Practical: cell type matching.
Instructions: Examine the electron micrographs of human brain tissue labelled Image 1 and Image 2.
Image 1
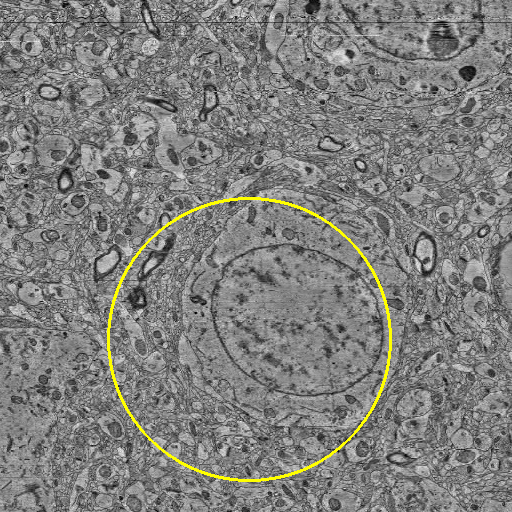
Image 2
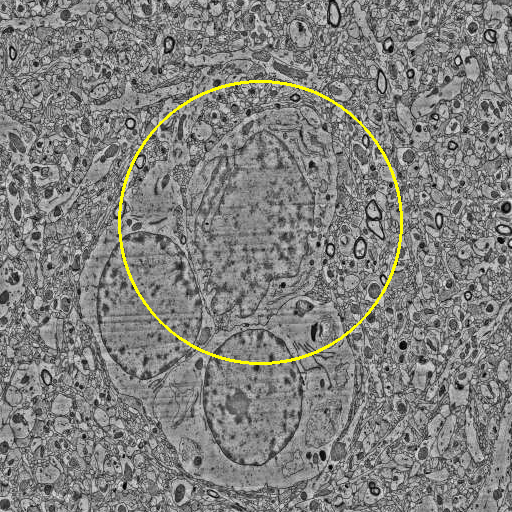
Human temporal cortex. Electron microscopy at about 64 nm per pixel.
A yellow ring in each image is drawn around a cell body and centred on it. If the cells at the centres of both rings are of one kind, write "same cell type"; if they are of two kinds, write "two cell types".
two cell types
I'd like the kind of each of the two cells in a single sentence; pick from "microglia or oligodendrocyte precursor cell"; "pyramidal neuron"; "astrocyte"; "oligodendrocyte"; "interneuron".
The first ring marks a pyramidal neuron, and the second ring marks an interneuron.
